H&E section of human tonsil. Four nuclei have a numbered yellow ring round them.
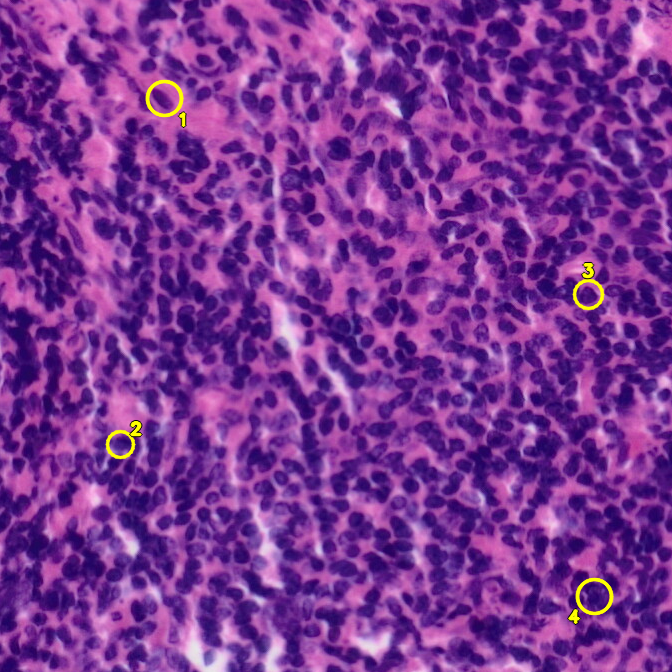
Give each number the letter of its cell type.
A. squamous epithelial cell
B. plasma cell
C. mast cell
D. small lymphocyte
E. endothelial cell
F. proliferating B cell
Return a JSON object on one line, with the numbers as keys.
{"1": "E", "2": "D", "3": "D", "4": "D"}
